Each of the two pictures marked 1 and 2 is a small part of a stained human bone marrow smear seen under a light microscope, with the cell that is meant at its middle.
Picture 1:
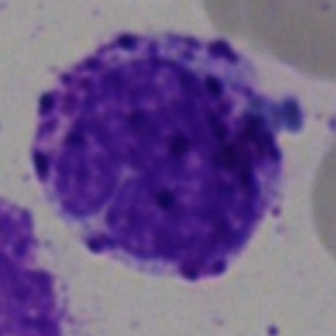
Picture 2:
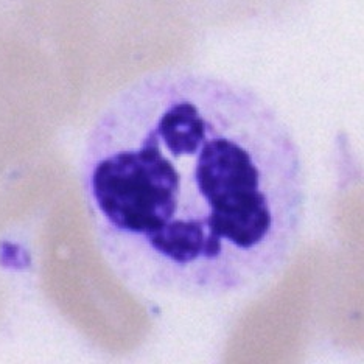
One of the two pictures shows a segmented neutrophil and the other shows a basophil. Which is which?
1: basophil
2: segmented neutrophil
